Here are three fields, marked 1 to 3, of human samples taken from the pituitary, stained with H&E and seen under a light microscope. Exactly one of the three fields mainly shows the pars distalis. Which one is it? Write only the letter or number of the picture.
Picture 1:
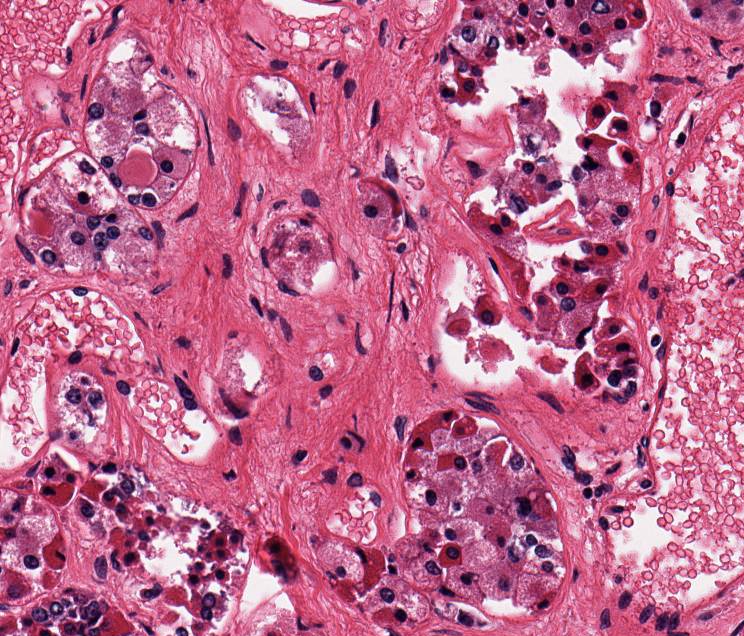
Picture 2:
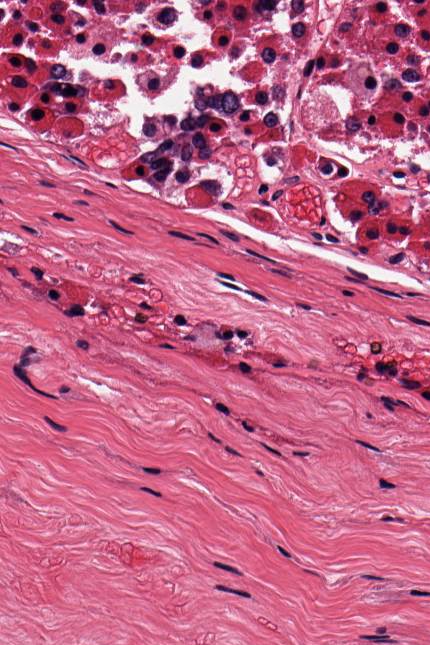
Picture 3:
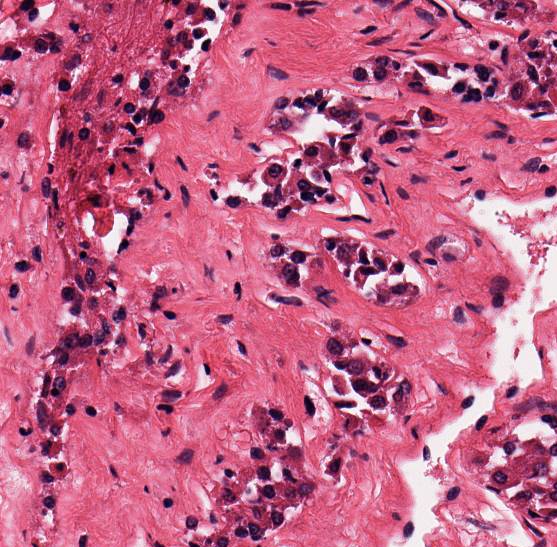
1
